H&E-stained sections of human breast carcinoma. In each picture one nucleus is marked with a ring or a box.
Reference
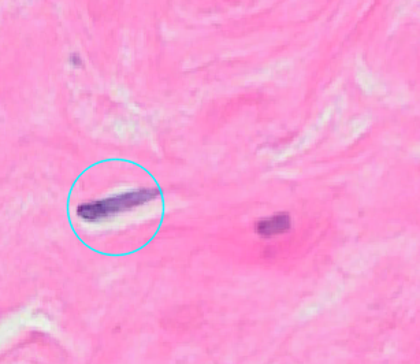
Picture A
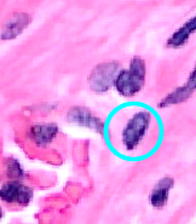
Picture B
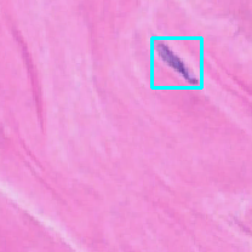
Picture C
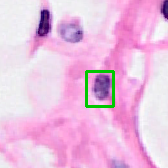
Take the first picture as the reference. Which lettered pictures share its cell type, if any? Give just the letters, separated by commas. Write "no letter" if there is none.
B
